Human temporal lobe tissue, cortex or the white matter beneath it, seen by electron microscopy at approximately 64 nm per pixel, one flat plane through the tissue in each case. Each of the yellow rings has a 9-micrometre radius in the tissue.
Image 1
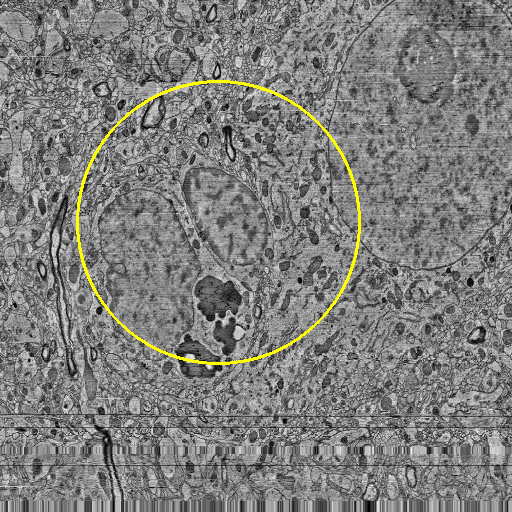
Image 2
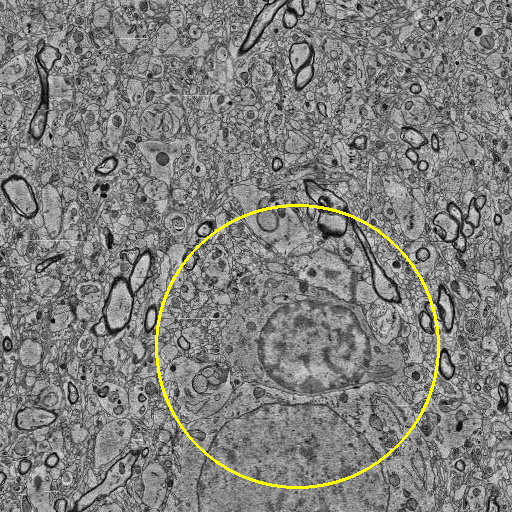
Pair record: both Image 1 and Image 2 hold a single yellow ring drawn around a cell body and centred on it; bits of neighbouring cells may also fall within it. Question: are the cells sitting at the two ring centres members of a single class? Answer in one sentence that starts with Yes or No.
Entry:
Yes, both ring-centre cells in Image 1 and Image 2 are members of one class.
